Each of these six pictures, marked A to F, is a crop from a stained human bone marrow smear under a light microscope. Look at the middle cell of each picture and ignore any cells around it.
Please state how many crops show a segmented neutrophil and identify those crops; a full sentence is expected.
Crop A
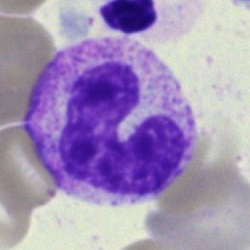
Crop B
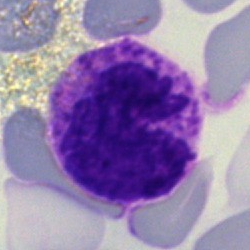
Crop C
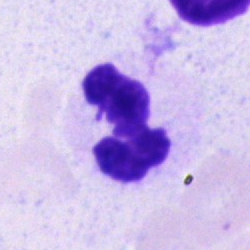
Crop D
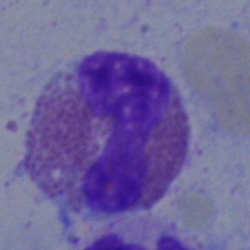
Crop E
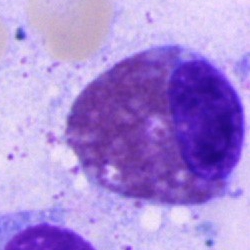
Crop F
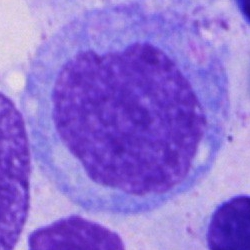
Only in crop C does a segmented neutrophil occupy the centre.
